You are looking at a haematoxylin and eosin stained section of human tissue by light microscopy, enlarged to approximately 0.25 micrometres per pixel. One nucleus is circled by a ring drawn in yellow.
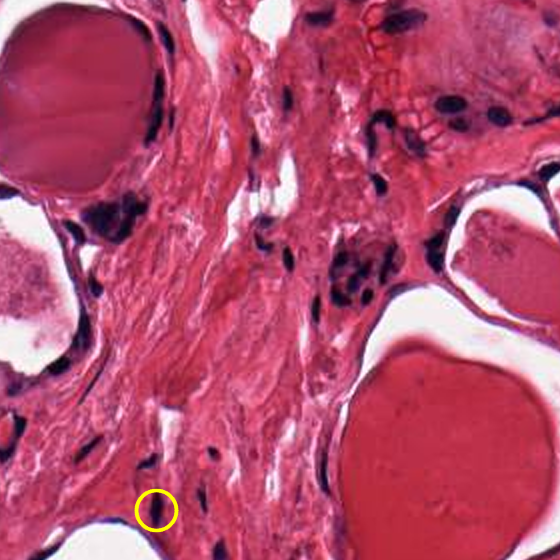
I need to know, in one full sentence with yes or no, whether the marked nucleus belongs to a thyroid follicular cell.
No, the marked nucleus is part of a supporting cell and does not belong to a thyroid follicular cell.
